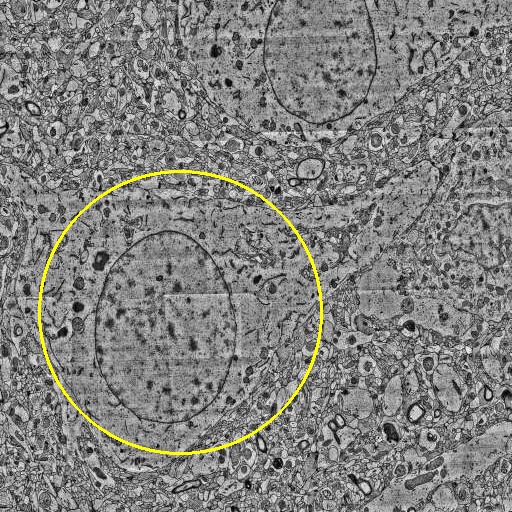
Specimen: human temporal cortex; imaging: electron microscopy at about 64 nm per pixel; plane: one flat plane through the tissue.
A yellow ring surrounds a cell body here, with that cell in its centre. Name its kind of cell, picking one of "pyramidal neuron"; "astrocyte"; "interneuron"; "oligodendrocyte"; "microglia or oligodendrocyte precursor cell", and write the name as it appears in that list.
pyramidal neuron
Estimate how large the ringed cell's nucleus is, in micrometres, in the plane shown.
In this plane the nucleus is about 12 micrometres by 9.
